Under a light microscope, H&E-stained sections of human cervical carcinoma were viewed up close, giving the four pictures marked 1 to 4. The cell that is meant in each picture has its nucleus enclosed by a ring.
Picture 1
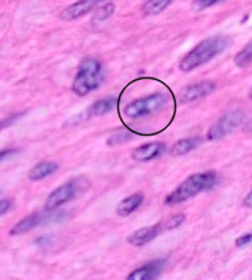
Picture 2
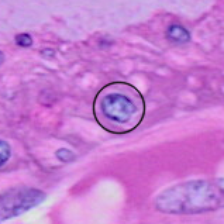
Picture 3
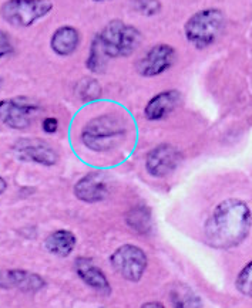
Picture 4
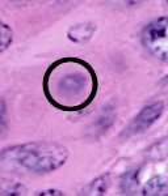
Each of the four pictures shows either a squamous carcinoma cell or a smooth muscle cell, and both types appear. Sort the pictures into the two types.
1: smooth muscle cell
2: smooth muscle cell
3: squamous carcinoma cell
4: squamous carcinoma cell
